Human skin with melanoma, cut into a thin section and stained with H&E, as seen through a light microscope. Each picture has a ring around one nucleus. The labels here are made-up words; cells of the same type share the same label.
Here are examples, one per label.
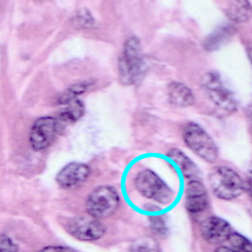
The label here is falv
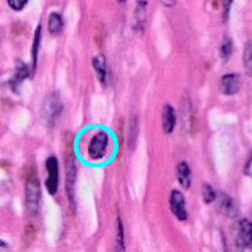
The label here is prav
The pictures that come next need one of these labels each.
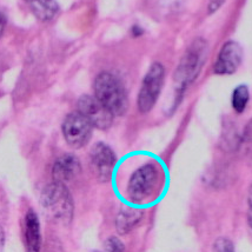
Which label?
falv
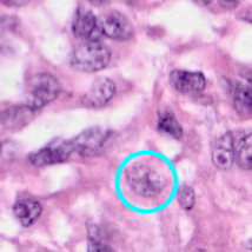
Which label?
falv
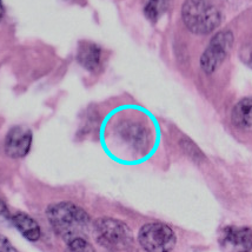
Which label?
falv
